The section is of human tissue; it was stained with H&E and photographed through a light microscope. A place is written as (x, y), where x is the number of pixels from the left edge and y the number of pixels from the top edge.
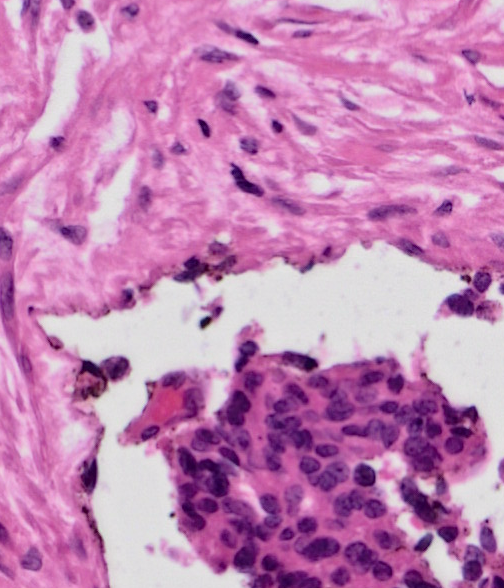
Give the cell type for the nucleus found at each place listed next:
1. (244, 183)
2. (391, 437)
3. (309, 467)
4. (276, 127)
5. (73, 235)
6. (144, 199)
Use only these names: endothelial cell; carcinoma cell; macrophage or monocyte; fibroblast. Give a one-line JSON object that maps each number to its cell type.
{"1": "fibroblast", "2": "carcinoma cell", "3": "carcinoma cell", "4": "fibroblast", "5": "fibroblast", "6": "fibroblast"}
